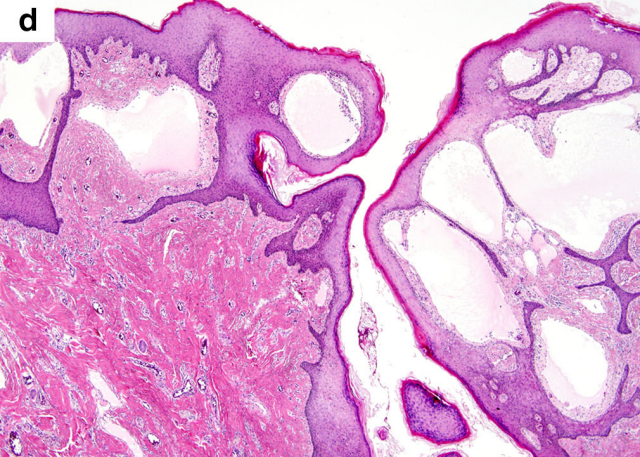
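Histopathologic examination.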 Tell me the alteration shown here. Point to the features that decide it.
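Hyperkeratotic, hyperplastic squamous epithelium. A thick purple stratified squamous epithelium covers the surface. A bright pink compact keratin layer lies on top of the epithelium. The epithelium sends broad downgrowths between the underlying spaces.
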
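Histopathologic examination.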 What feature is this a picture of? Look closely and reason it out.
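Dilated dermal lymphatic channels. Many large rounded spaces of varying size lie just beneath the epidermis. The spaces are lined by a thin flat cell layer.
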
